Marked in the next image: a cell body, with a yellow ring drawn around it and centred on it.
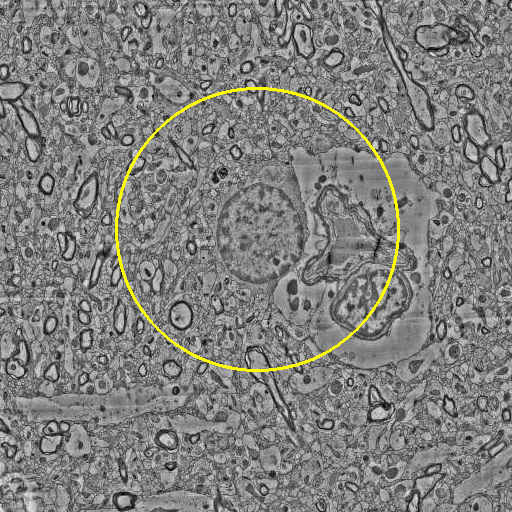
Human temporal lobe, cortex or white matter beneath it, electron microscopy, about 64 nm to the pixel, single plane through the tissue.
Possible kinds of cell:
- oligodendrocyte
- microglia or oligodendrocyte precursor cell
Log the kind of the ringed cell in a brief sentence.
The ringed cell body is that of an oligodendrocyte.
